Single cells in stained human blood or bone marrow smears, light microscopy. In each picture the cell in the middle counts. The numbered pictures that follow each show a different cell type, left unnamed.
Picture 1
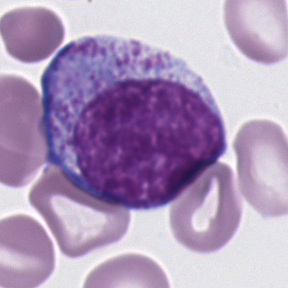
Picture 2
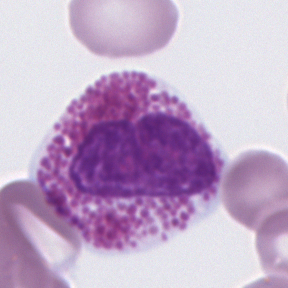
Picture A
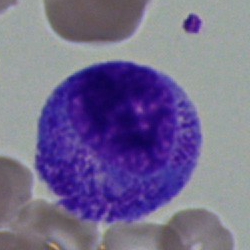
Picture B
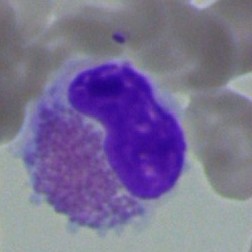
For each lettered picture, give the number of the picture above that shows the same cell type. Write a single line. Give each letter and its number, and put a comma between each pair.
A 1, B 2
